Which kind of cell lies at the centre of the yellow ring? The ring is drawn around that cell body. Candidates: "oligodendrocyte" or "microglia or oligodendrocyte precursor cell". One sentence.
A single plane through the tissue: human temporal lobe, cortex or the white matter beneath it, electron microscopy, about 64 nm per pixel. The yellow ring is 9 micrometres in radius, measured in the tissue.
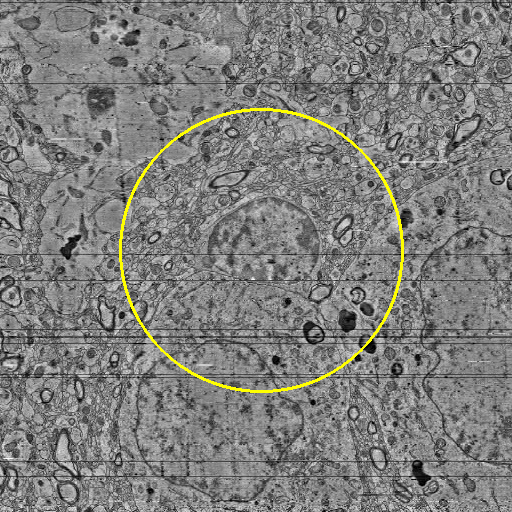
Lying at the centre of the ring is an oligodendrocyte.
